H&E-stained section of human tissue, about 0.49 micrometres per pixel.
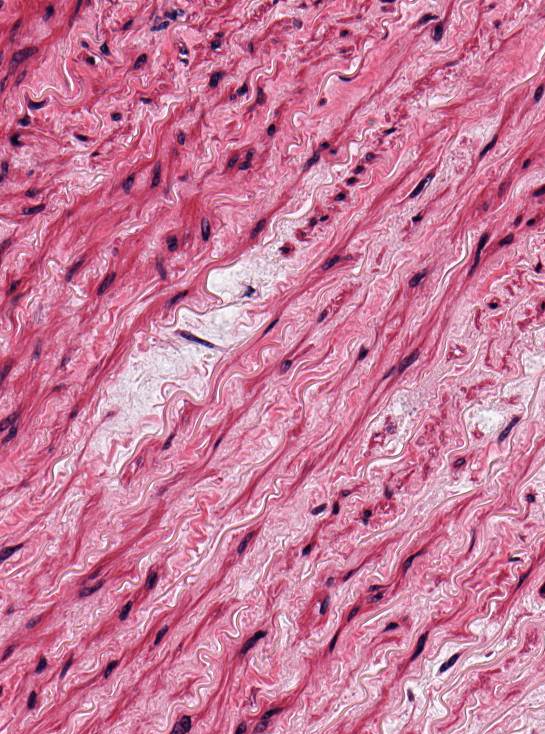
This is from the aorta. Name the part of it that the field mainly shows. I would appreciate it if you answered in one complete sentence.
On this slide, the tissue part is known as tunica media.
